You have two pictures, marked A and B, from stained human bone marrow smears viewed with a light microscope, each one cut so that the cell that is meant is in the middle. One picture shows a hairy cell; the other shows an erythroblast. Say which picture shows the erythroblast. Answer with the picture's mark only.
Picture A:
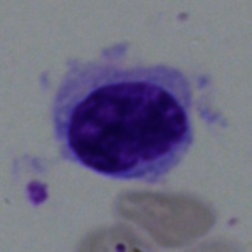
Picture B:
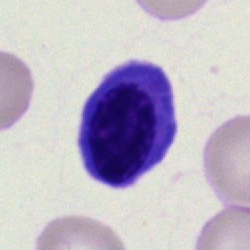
B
